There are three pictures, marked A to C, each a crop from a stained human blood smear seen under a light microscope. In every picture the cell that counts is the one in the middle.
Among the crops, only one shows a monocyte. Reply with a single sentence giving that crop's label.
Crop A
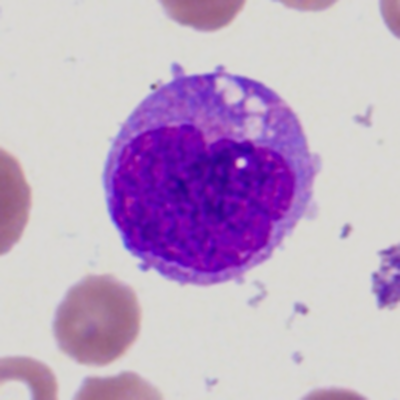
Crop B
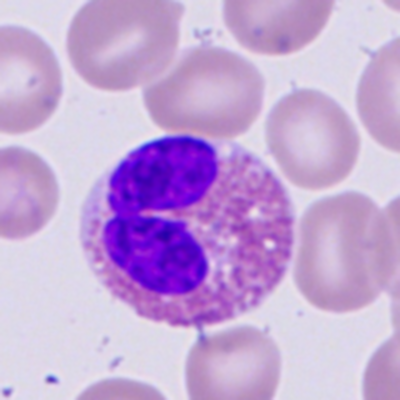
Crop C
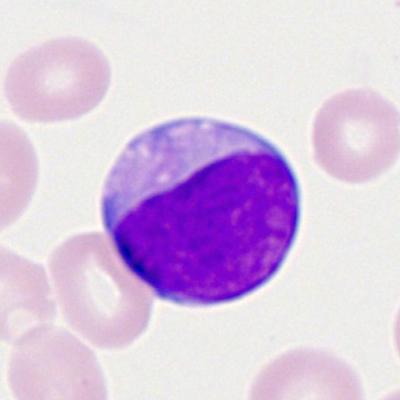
Among the crops given, only crop A shows a monocyte.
